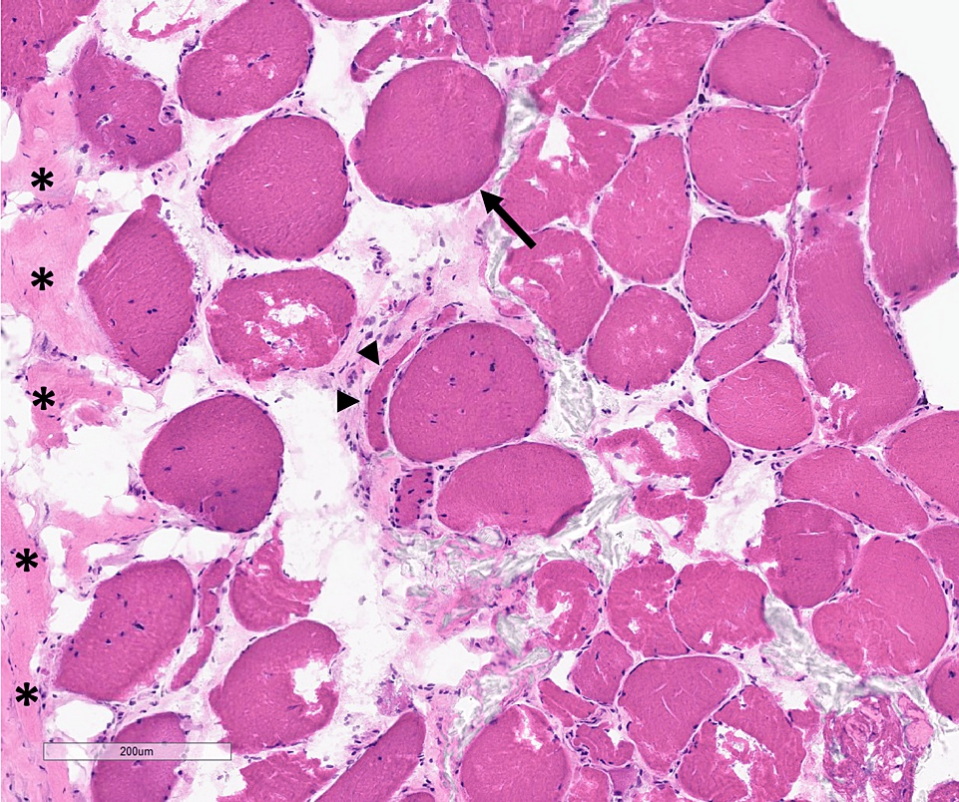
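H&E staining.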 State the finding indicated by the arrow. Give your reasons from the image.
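The arrow points to a large, rounded fiber. That fiber is among the largest in the field, far wider than many nearby fibers.
Hence: hypertrophic fibers.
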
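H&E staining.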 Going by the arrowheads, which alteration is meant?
Atrophic fibers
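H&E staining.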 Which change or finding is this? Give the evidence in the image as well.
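Cross-sectioned muscle fibers range from very small to very large. Small and large fibers lie side by side throughout the field.
Answer: variation in muscle fiber diameters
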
